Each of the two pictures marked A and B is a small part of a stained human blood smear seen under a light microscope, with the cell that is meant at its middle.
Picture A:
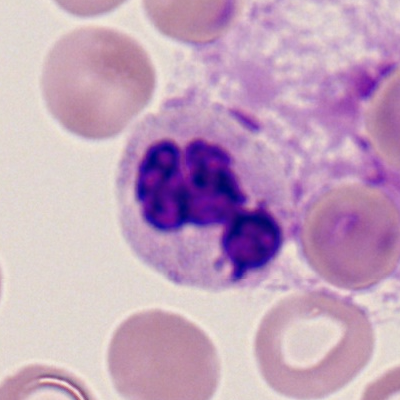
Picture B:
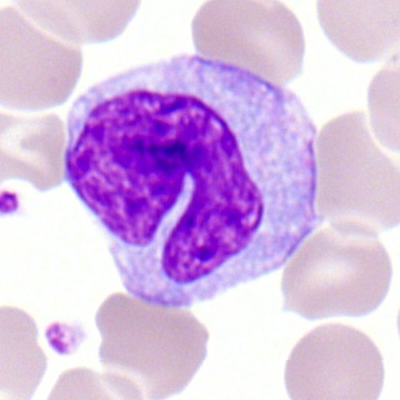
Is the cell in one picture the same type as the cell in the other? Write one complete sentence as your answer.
No, picture A shows a segmented neutrophil and picture B shows a monocyte.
